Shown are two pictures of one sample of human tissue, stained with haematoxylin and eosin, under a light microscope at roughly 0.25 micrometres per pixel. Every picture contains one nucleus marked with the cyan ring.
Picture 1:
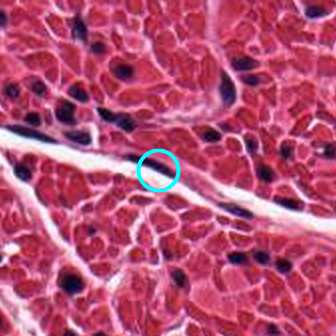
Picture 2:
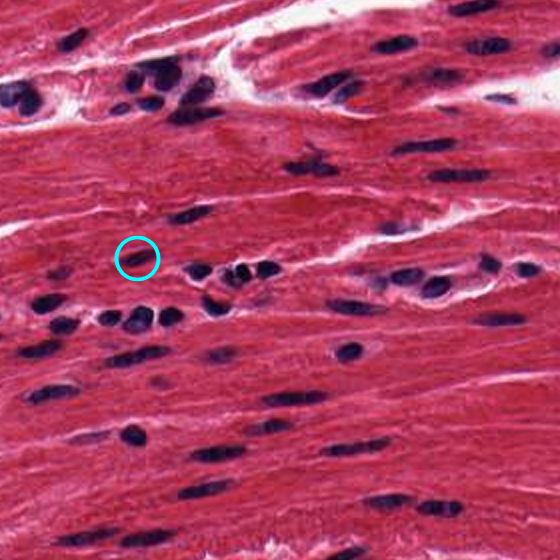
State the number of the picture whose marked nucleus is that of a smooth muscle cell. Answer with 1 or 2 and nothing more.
2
